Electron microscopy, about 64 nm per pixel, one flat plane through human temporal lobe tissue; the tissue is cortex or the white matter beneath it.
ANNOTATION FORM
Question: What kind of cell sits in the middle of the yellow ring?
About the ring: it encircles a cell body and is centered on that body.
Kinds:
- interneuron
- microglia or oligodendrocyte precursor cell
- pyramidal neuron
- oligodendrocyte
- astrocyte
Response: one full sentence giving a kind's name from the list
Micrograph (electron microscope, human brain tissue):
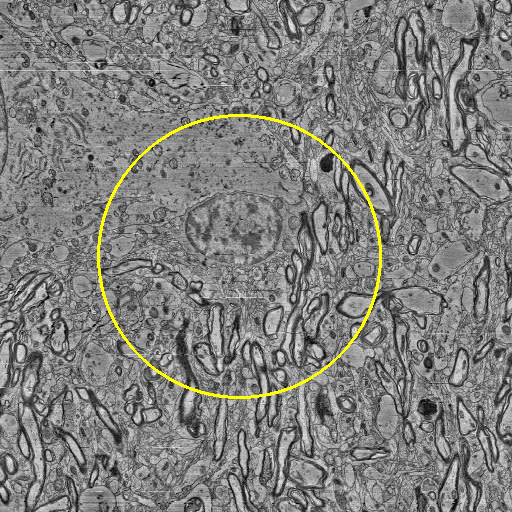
The kind of cell found at the center of the yellow ring in the micrograph is an oligodendrocyte.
